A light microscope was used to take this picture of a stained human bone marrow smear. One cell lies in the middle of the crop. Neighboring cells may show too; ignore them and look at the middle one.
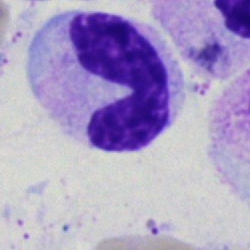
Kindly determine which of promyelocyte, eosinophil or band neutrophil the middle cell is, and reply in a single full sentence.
The cell positioned in the middle of the field is a band neutrophil.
